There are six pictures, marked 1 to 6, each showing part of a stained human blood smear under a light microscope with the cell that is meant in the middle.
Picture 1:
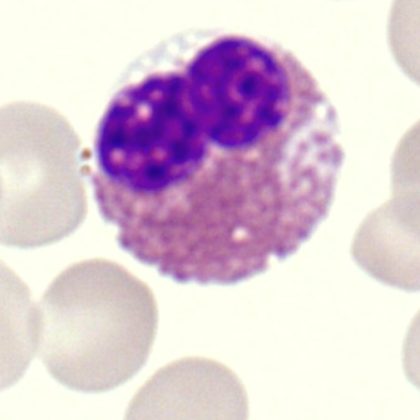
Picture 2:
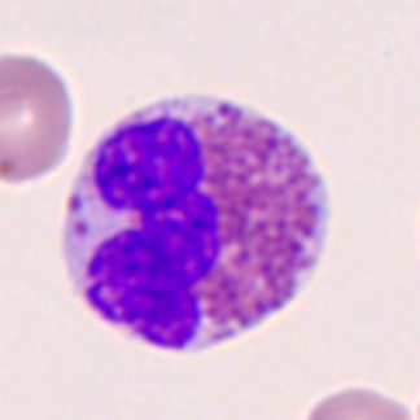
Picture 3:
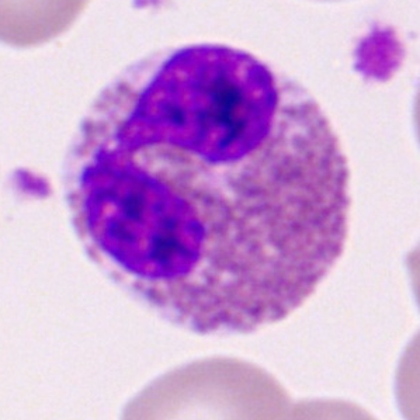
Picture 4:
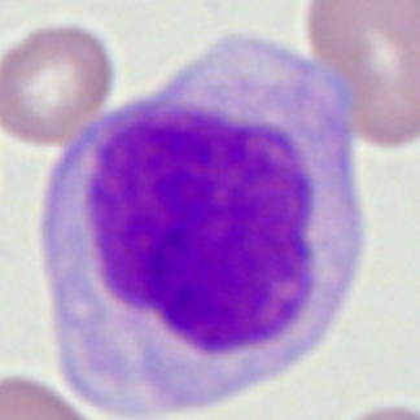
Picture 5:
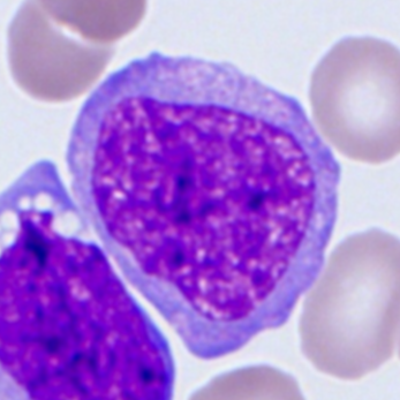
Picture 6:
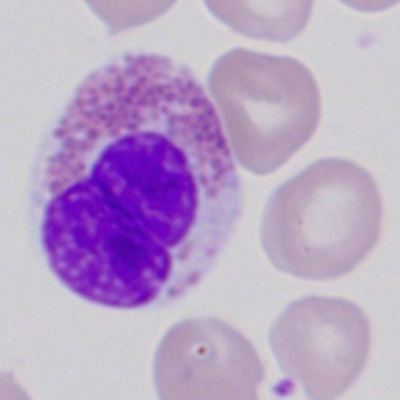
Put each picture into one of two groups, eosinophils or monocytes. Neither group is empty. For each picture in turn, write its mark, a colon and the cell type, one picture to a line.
1: eosinophil
2: eosinophil
3: eosinophil
4: monocyte
5: monocyte
6: eosinophil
